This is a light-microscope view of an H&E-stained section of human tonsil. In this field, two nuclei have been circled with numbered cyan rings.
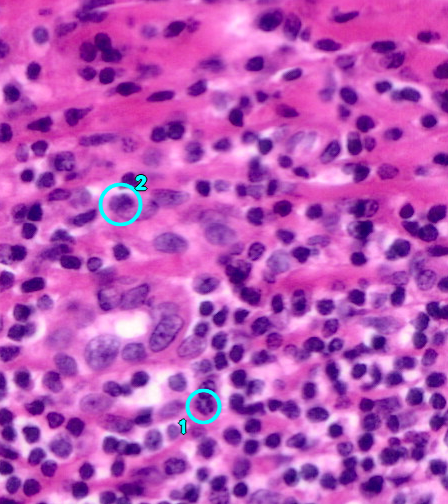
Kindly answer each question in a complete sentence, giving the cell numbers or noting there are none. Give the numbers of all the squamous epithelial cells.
The correct answer is that none of the numbered cells are squamous epithelial cells.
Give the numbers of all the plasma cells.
Only the cell marked 1 is a plasma cell.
